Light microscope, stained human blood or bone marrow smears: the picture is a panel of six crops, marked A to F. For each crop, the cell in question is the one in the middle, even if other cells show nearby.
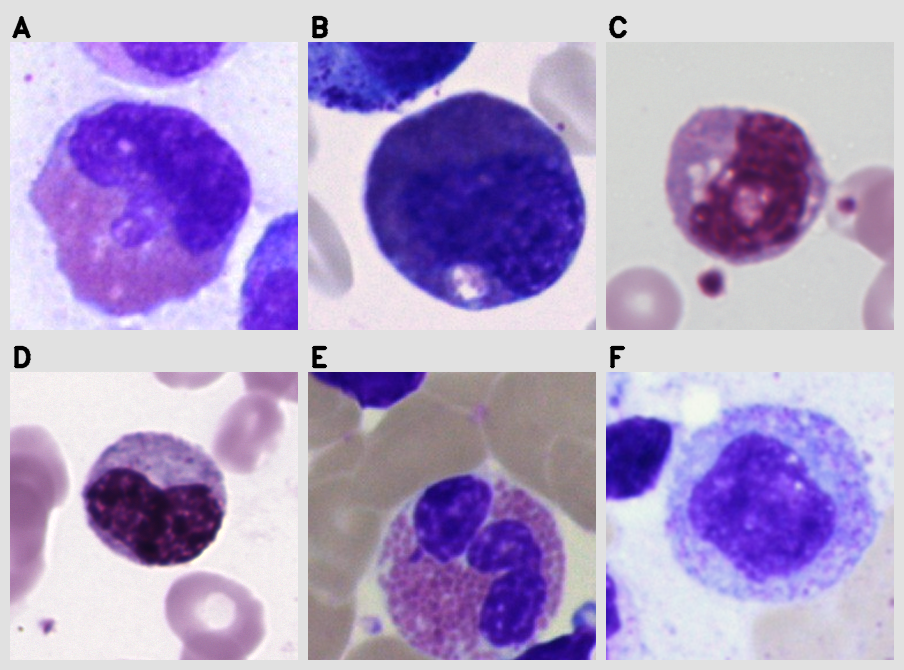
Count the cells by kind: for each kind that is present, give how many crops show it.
eosinophil: 3
monocyte: 2
myelocyte: 1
